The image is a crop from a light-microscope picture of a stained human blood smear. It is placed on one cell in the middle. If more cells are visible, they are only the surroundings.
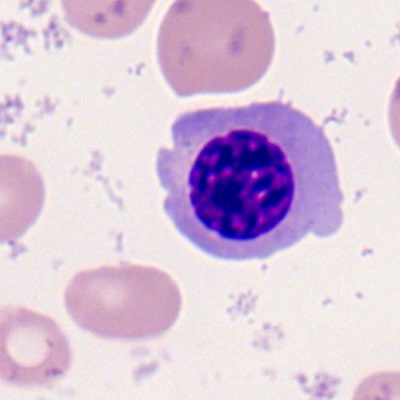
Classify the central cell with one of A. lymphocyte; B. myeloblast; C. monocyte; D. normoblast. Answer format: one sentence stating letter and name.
Option D, which names the central cell as a normoblast, is correct.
